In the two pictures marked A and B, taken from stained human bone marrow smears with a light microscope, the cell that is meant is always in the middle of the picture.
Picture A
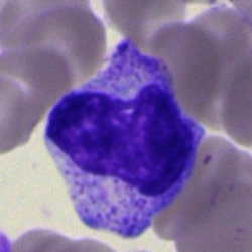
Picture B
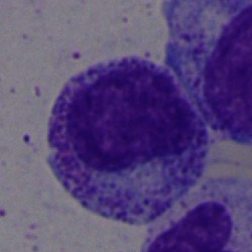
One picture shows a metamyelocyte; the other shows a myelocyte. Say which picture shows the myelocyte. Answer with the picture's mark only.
B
